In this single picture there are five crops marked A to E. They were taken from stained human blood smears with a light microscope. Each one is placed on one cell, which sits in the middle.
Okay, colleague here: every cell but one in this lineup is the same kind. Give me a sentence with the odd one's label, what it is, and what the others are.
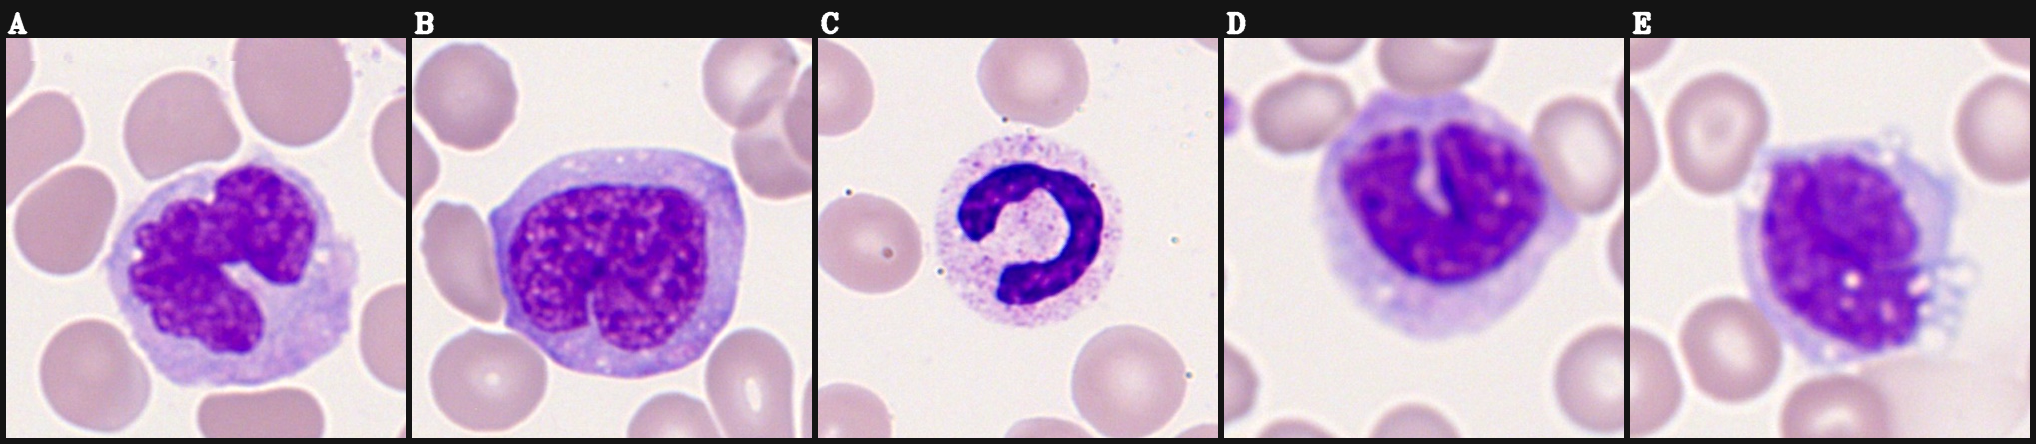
All the crops contain monocytes save crop C, where there is a band neutrophil.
